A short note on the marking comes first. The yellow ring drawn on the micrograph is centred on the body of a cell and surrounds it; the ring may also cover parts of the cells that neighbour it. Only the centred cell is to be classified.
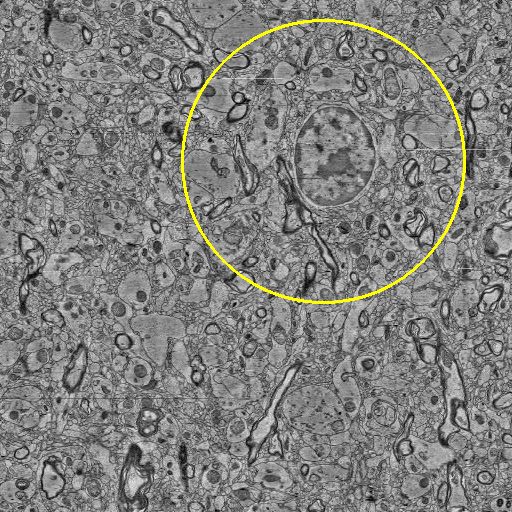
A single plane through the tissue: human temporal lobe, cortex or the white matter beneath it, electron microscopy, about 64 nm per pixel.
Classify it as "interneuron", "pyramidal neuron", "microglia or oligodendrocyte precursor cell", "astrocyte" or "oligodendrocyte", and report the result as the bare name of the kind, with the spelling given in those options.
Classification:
microglia or oligodendrocyte precursor cell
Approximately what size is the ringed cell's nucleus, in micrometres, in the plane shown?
In this plane, roughly 6 by 5 micrometres.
